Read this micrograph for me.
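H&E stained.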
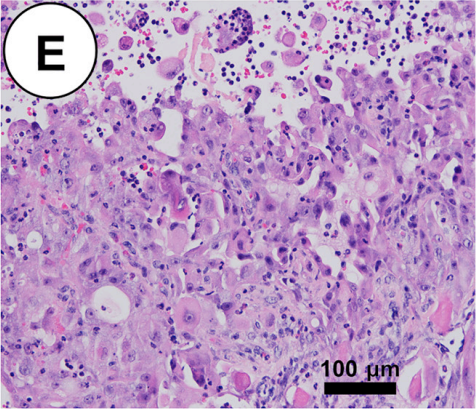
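Some cells are very large with more than one nucleus. Small dark round cells are scattered among the tumor cells and gather loosely along the upper edge together with red blood cells.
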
